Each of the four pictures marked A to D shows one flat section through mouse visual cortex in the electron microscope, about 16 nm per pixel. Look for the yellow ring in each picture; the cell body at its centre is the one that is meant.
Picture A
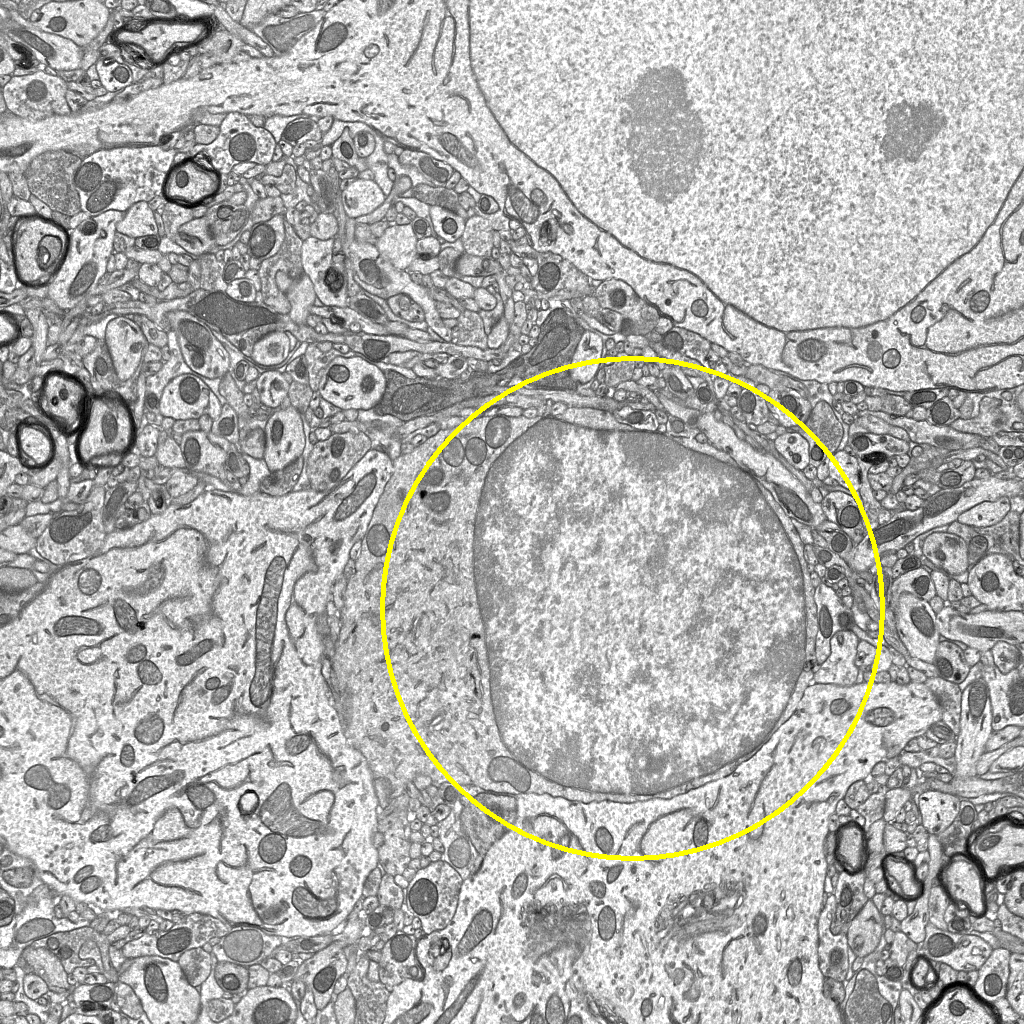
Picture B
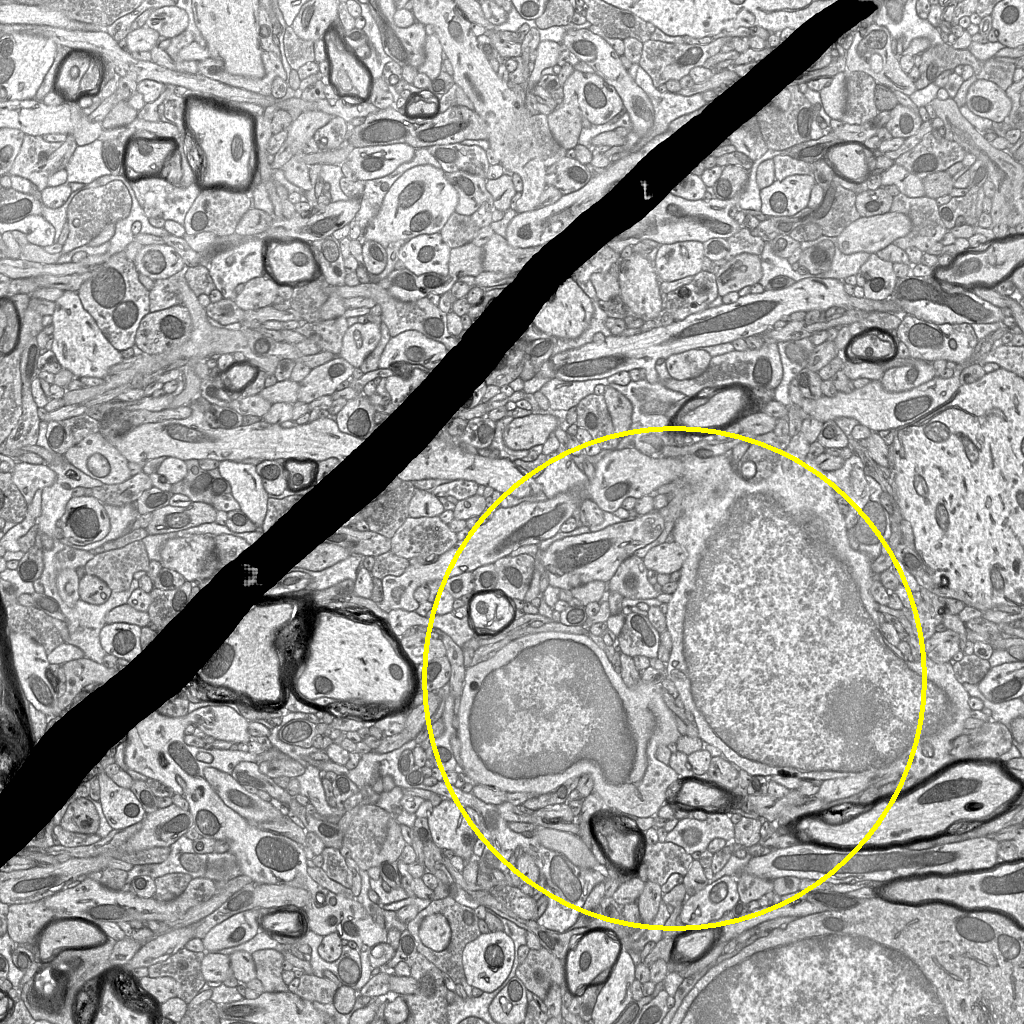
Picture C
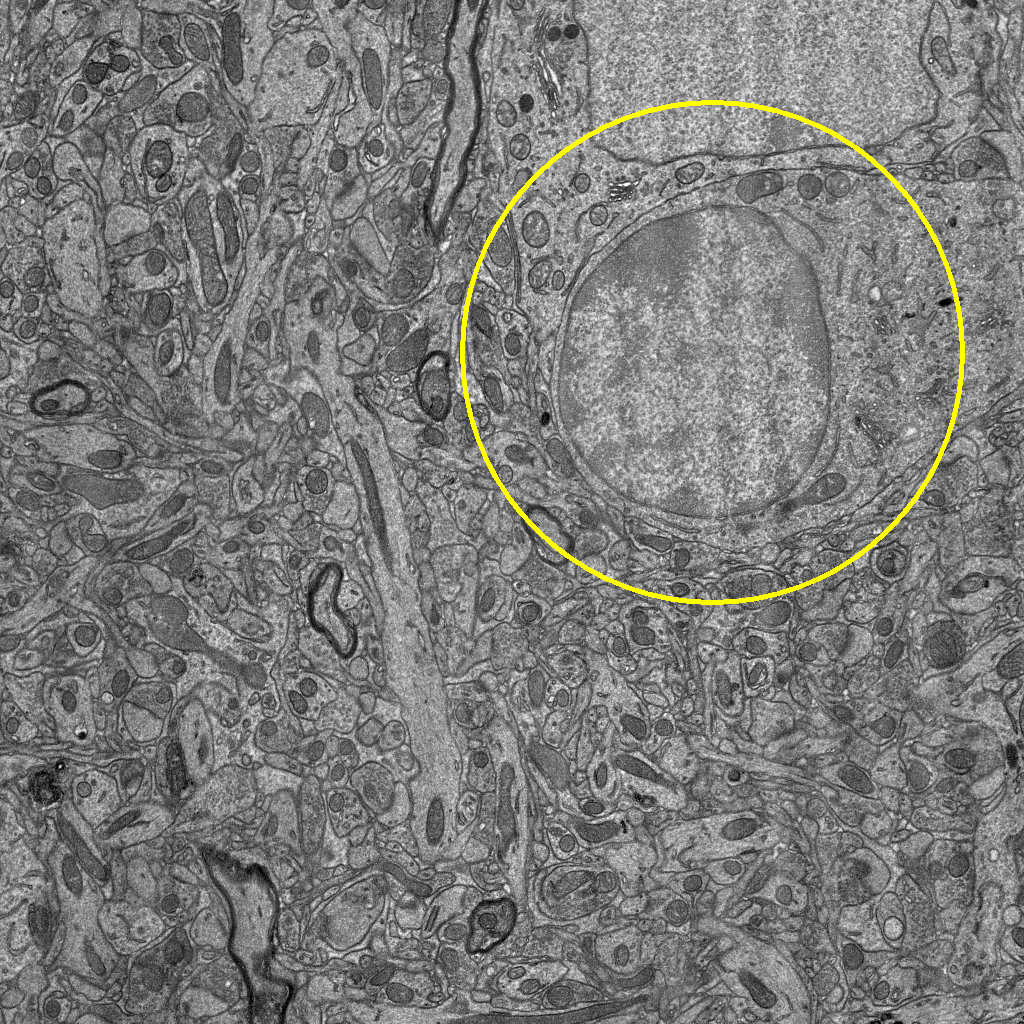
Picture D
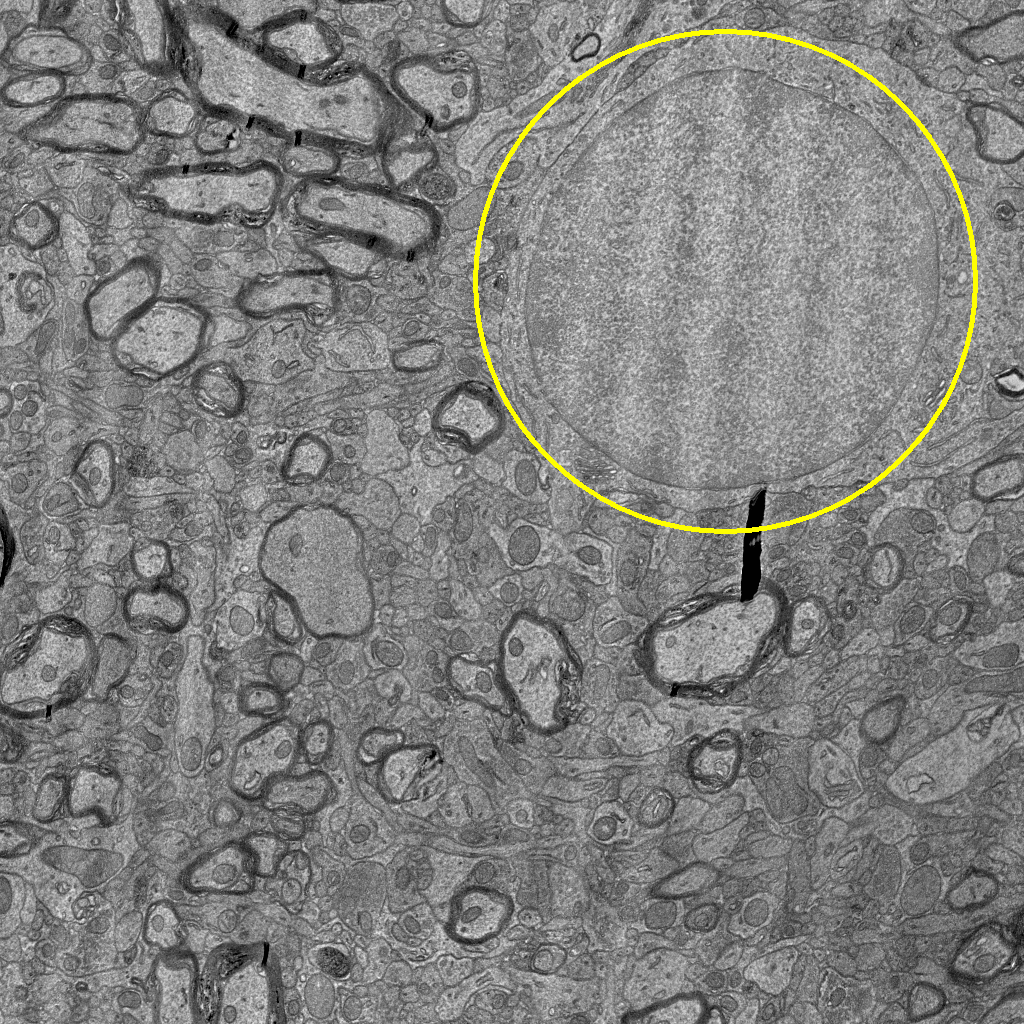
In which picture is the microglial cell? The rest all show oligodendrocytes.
Picture B shows the microglial cell.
